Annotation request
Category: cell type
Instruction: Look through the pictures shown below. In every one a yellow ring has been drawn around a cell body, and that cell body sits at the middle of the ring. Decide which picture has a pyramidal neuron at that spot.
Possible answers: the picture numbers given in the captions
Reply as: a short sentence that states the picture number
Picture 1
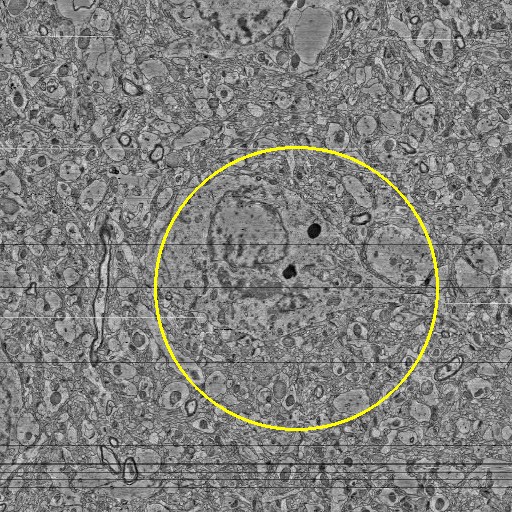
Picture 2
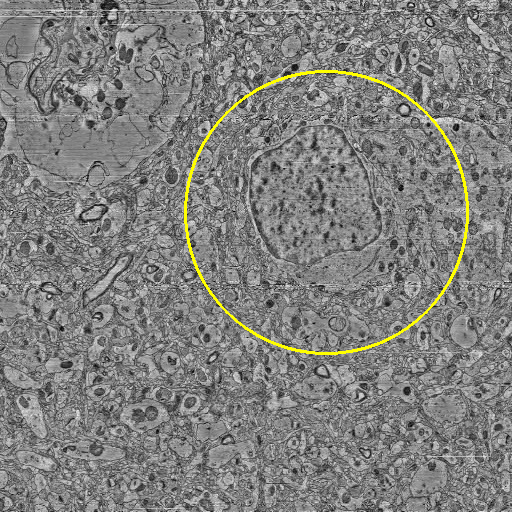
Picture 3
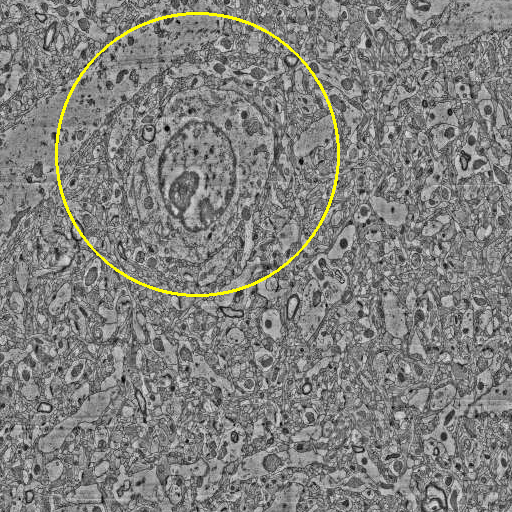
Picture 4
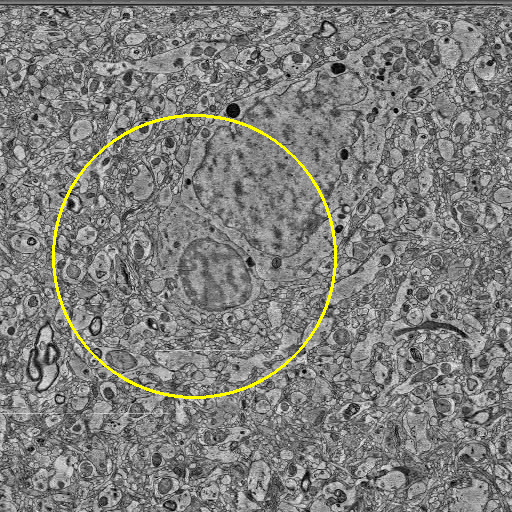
It is in Picture 3.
